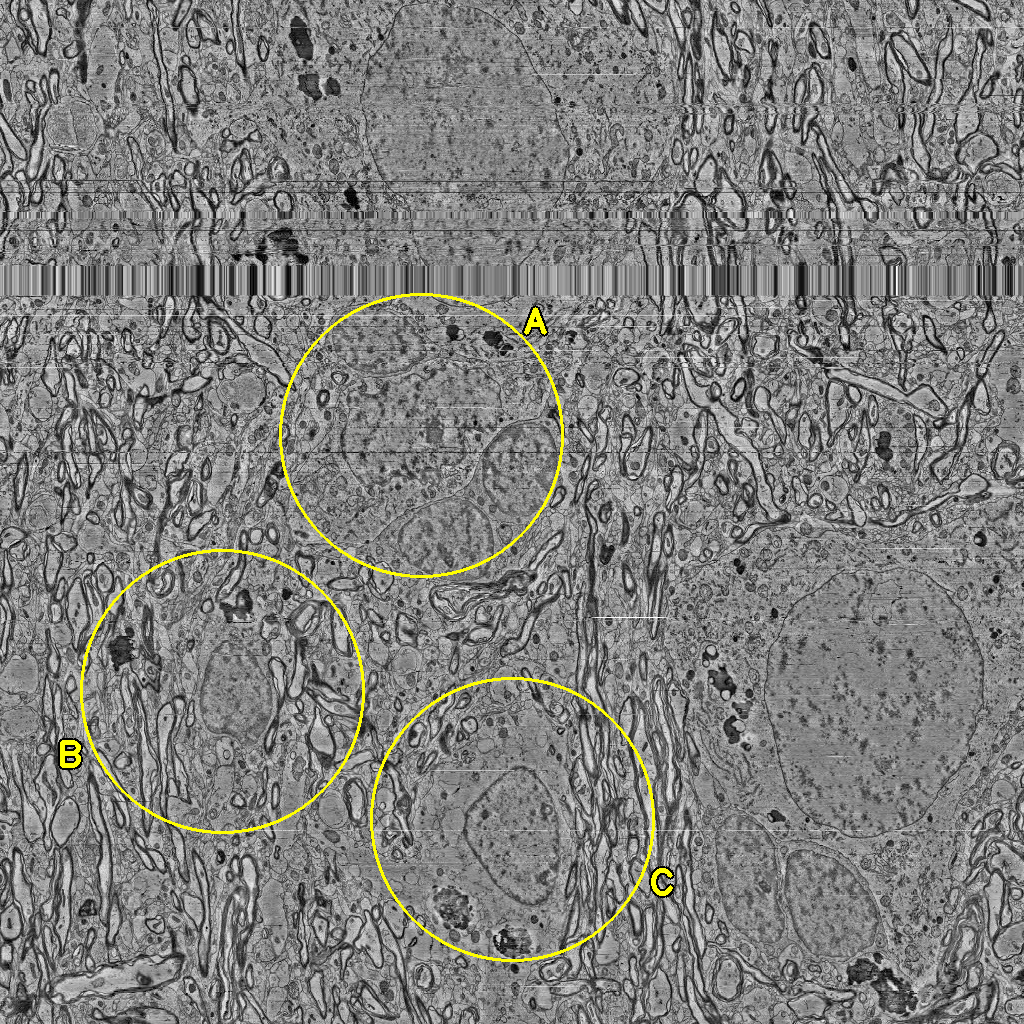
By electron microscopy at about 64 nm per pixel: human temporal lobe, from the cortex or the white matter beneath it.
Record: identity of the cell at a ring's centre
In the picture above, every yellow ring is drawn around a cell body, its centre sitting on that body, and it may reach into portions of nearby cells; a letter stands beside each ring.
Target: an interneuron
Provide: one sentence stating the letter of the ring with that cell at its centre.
The letter of the ring centred on a cell of that kind is A.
